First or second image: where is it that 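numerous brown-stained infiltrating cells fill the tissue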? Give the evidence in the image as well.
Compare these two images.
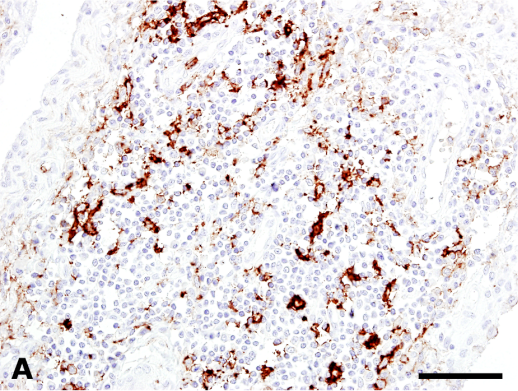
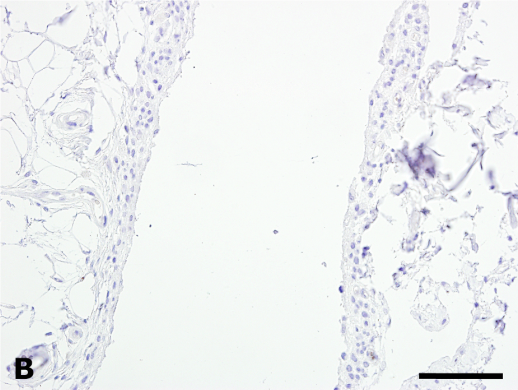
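Second image: thin tissue with sparse blue nuclei and no brown staining. First image: densely cellular tissue with many irregular brown-stained cells scattered among blue nuclei.
Conclusion: the first image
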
